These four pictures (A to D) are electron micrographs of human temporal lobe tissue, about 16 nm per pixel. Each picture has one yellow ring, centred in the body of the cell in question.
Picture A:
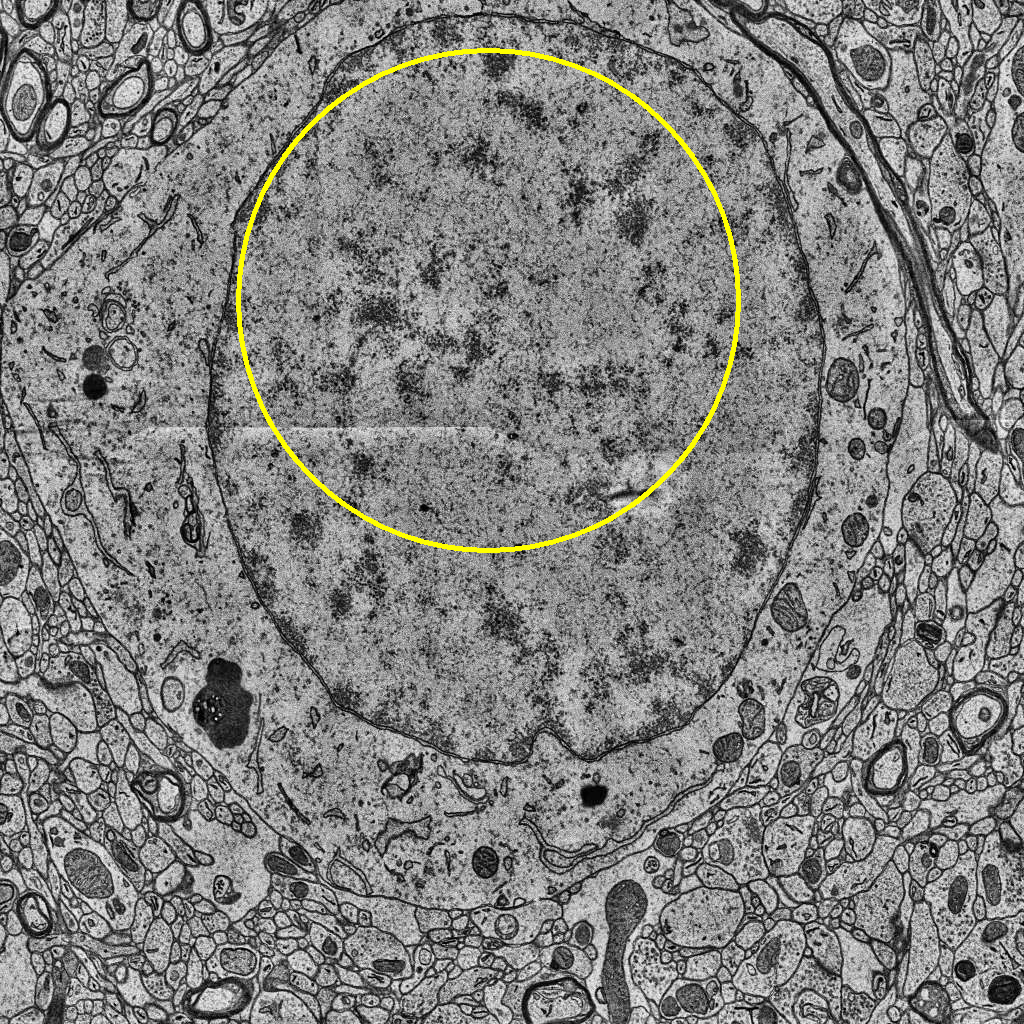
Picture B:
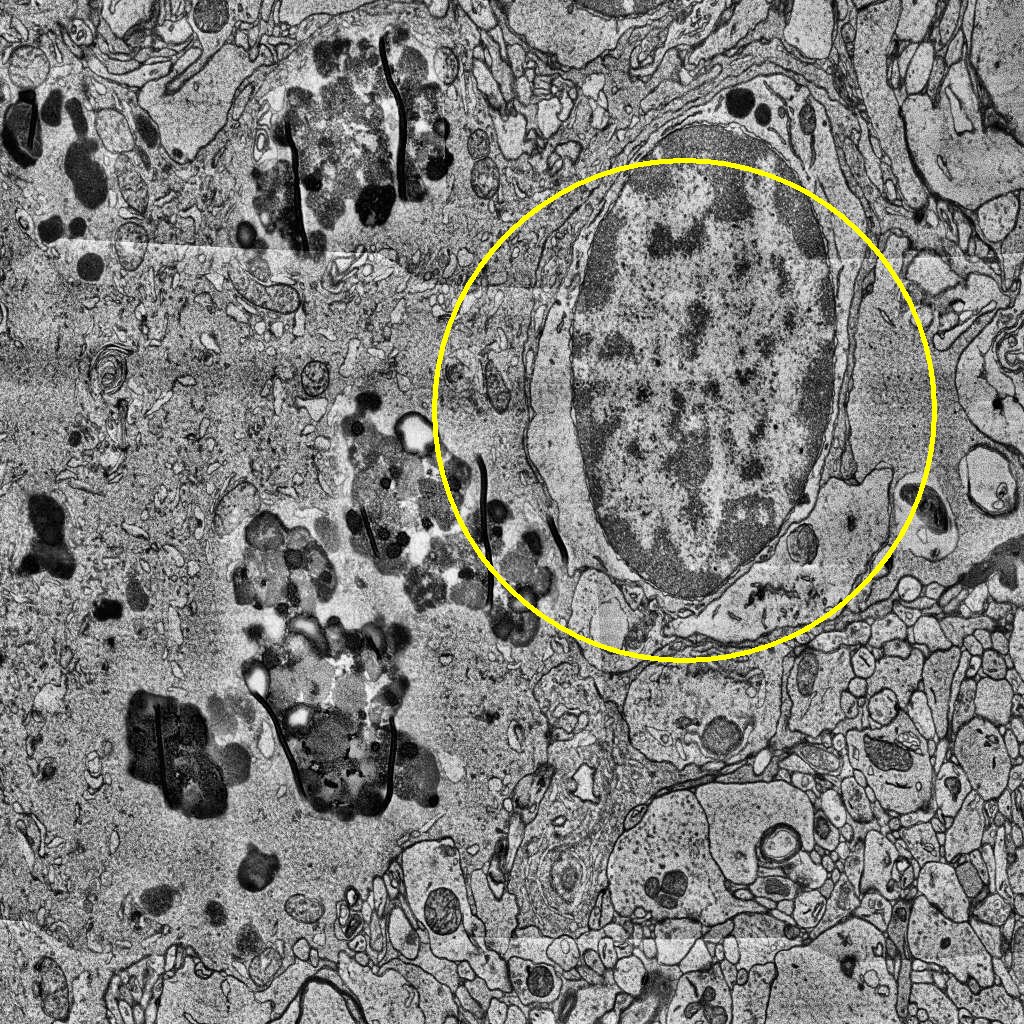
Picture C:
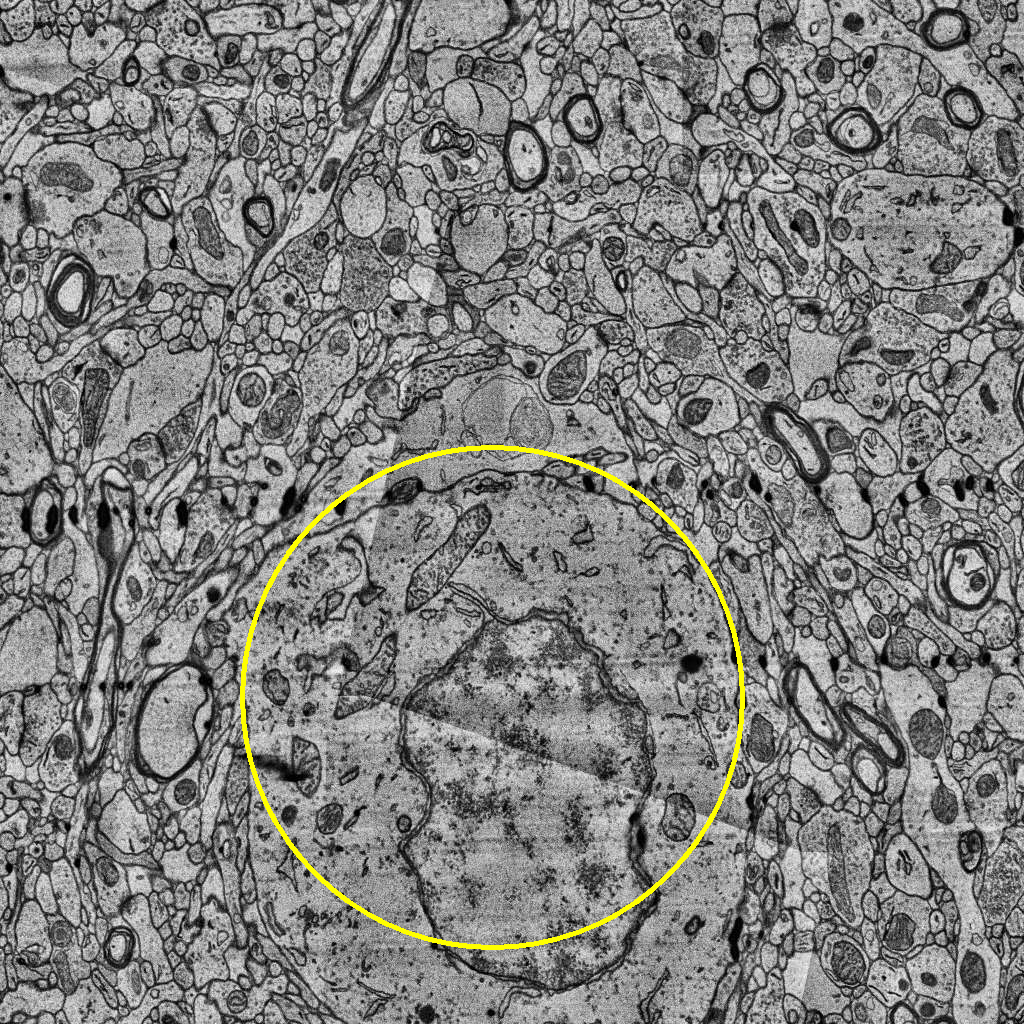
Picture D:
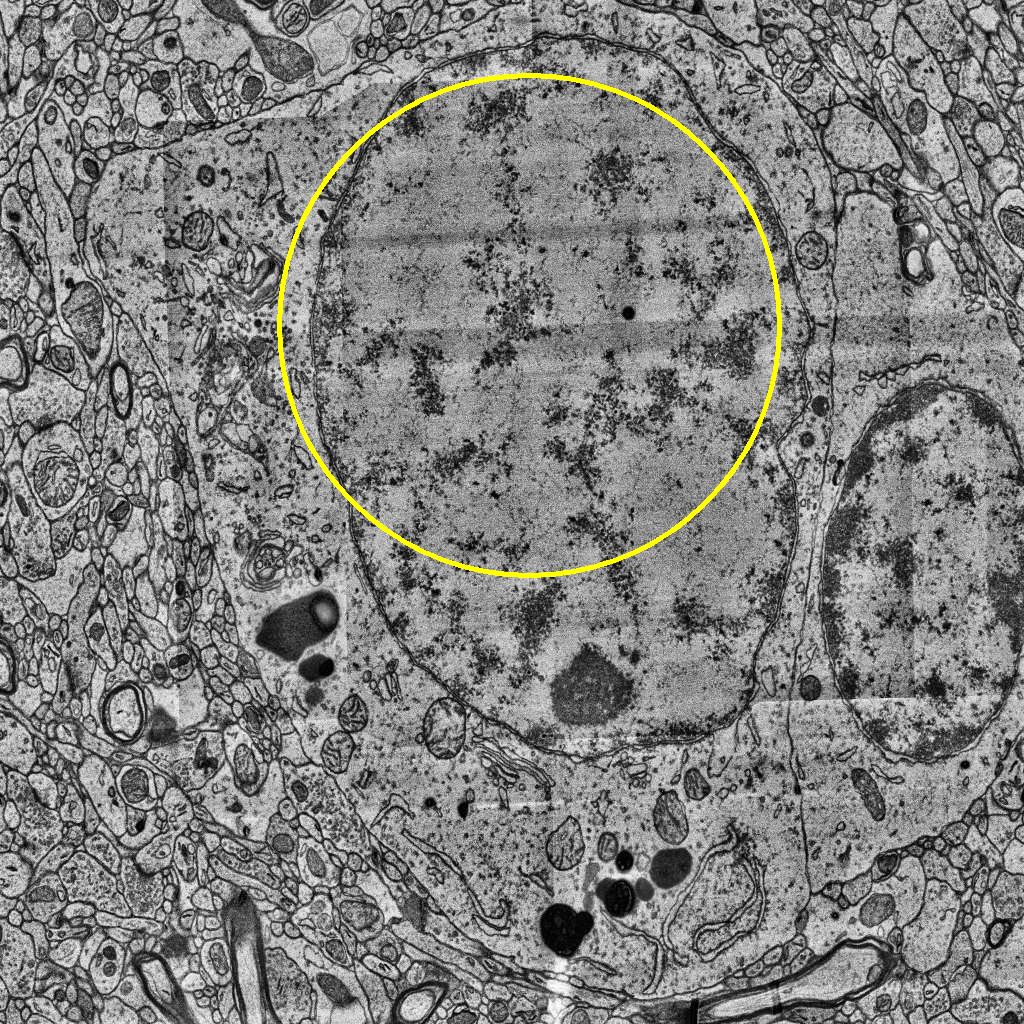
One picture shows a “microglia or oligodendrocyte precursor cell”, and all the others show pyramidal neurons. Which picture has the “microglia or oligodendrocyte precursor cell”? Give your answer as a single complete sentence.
The “microglia or oligodendrocyte precursor cell” is the one in picture B.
